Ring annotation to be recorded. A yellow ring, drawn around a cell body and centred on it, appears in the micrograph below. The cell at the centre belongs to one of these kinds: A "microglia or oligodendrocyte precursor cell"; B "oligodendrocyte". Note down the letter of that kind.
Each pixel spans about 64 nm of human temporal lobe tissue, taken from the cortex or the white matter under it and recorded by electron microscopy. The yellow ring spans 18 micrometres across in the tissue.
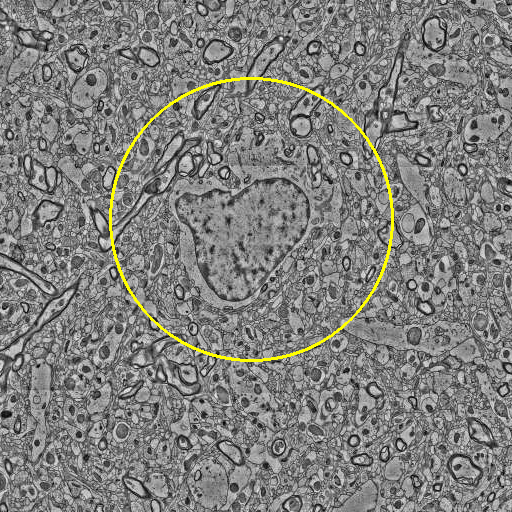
A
